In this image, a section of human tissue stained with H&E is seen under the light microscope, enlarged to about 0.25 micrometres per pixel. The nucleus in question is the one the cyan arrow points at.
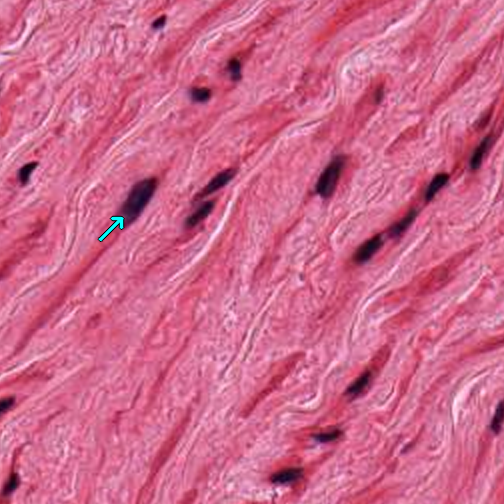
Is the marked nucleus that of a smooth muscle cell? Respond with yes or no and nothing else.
yes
